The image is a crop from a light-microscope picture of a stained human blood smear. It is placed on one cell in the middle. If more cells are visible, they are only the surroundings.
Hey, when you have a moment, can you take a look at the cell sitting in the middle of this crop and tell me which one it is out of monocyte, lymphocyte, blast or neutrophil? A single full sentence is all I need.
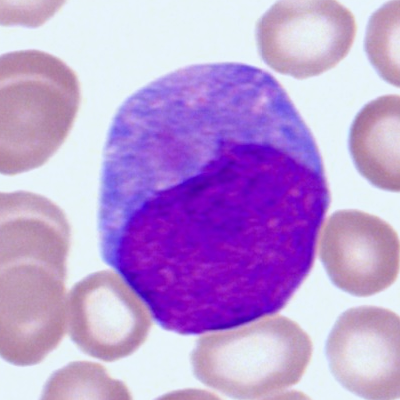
What the crop centres on is a blast.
